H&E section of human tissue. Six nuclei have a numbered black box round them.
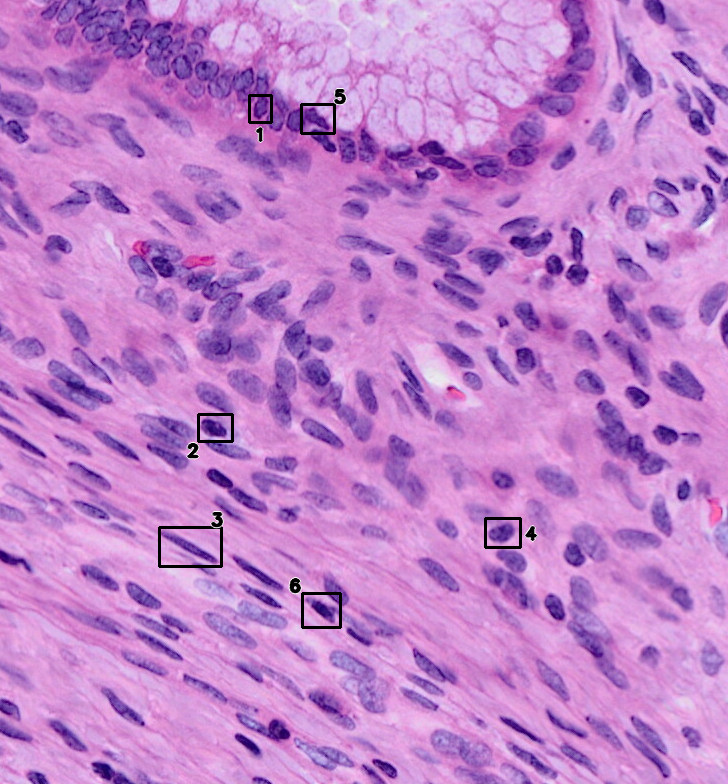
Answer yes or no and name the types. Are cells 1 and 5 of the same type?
Yes, as for cells 1 and 5, both are secretory epithelial cells.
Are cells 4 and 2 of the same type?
Yes, the two numbered cells 4 and 2 are both lymphocytes.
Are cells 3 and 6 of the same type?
No, cell 3 is a fibroblast, and cell 6 is a lymphocyte.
